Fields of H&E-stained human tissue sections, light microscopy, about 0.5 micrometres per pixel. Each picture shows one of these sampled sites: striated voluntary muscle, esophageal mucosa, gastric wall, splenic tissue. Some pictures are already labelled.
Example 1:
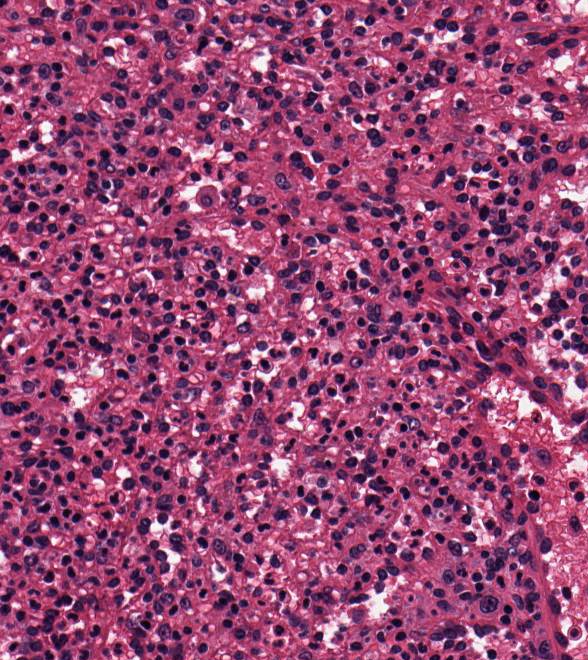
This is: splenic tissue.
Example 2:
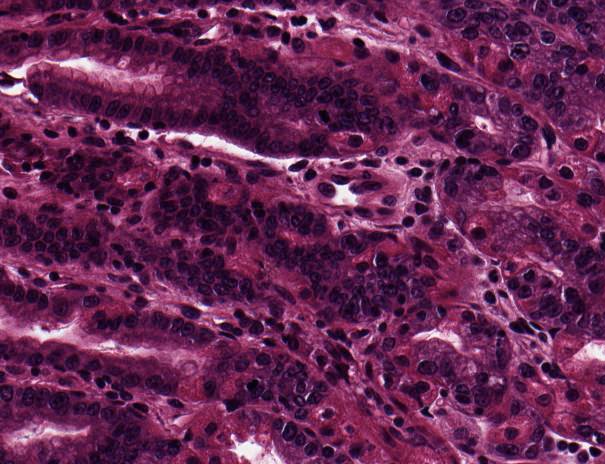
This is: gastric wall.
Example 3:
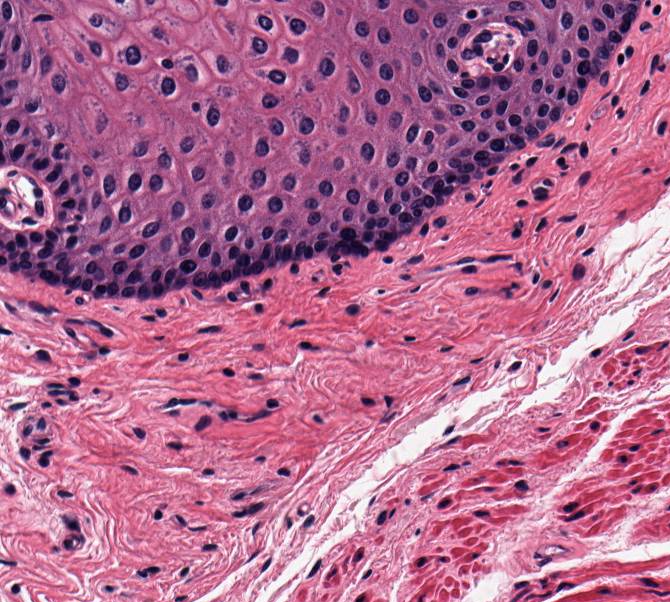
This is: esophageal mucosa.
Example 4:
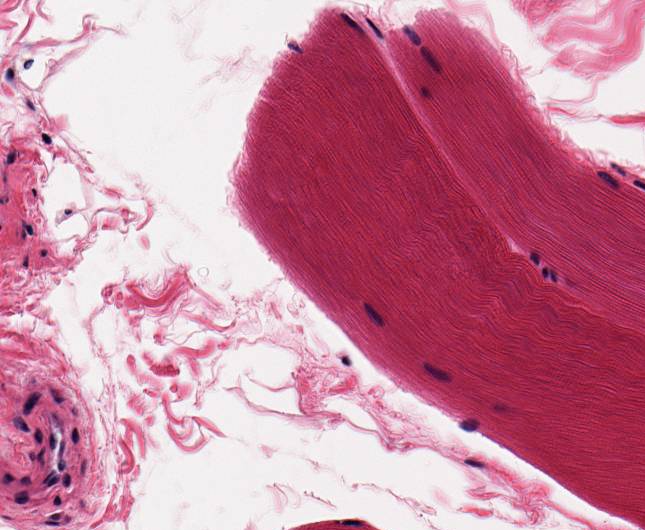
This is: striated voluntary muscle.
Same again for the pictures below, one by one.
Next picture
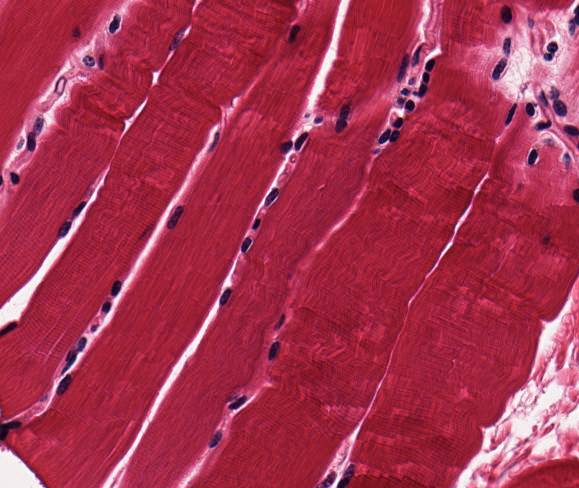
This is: striated voluntary muscle.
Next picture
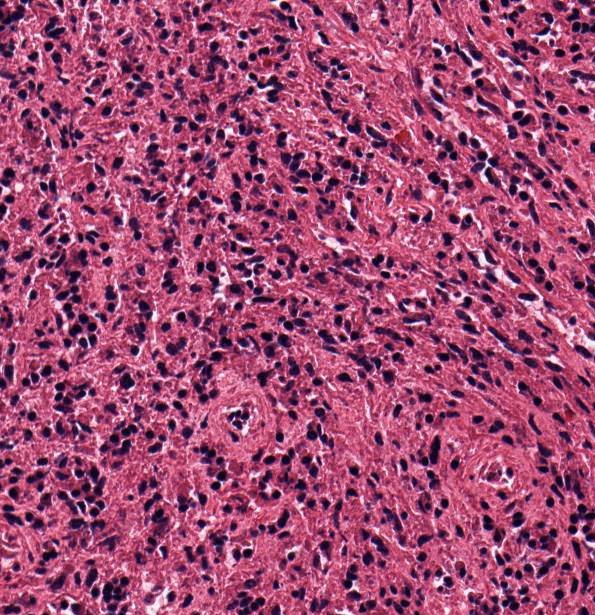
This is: splenic tissue.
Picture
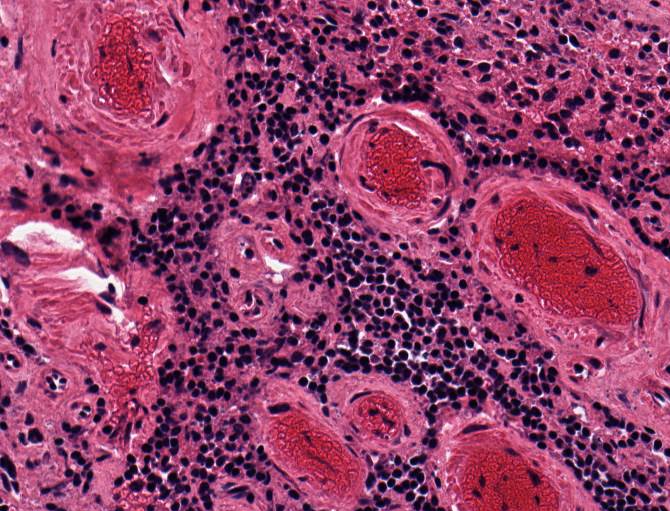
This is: splenic tissue.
